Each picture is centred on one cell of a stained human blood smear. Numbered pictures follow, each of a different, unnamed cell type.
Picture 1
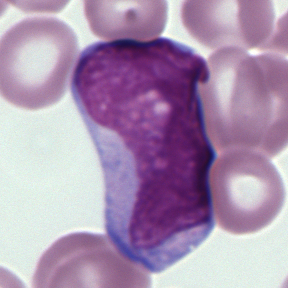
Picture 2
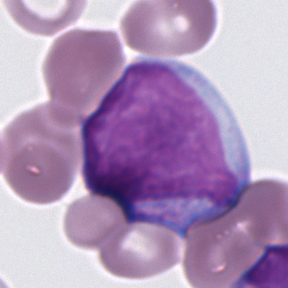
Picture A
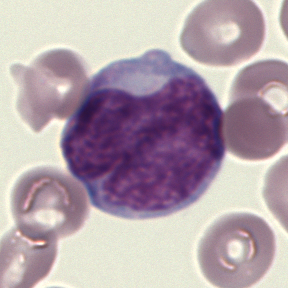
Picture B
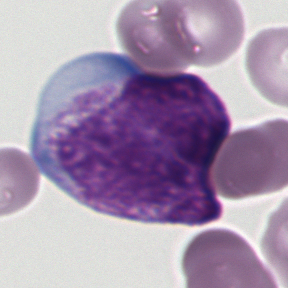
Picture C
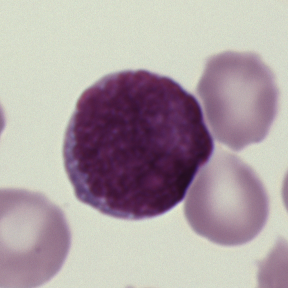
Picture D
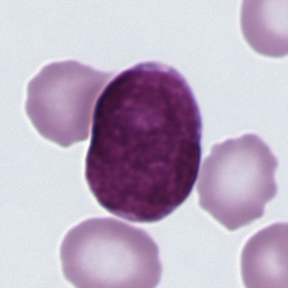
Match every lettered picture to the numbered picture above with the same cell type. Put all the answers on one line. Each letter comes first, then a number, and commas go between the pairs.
A 2, B 2, C 1, D 1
